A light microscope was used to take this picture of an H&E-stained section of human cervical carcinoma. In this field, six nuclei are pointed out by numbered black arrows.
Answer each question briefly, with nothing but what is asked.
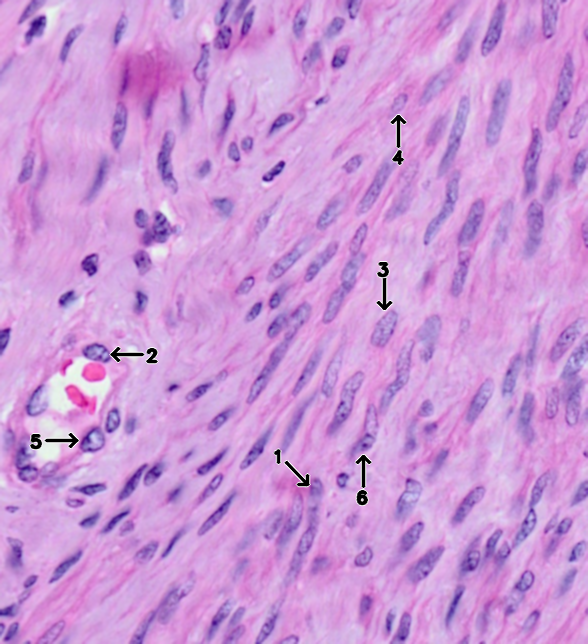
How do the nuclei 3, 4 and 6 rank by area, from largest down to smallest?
3, 6, 4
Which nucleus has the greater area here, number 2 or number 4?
2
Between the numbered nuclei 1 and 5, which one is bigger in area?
5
